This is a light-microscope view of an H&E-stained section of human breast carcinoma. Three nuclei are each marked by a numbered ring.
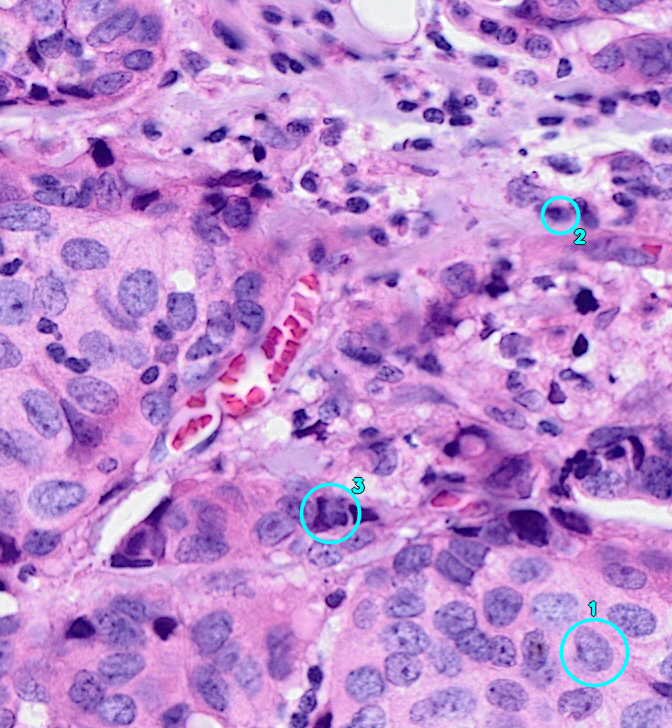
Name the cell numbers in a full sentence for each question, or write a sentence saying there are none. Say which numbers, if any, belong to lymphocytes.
There is only one numbered cell that is a lymphocyte, and it is cell 2.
